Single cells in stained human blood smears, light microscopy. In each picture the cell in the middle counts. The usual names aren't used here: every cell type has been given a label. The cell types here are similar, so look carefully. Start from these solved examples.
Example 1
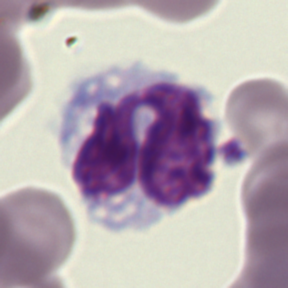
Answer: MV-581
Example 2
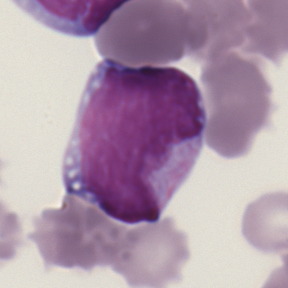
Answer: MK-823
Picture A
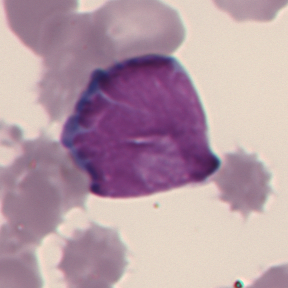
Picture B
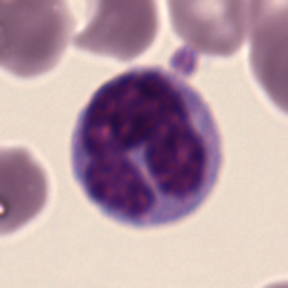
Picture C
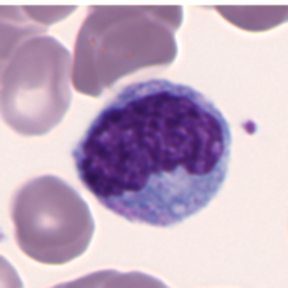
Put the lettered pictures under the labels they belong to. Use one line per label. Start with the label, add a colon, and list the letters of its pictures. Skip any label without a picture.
MV-581: B, C
MK-823: A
